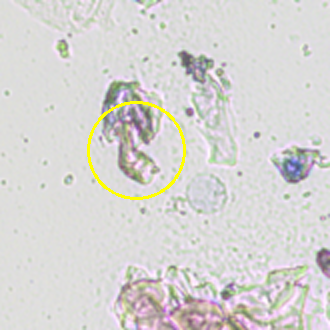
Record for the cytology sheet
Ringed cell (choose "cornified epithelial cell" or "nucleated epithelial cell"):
cornified epithelial cell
